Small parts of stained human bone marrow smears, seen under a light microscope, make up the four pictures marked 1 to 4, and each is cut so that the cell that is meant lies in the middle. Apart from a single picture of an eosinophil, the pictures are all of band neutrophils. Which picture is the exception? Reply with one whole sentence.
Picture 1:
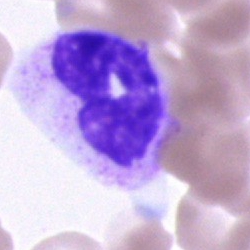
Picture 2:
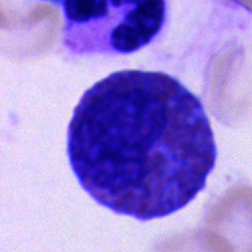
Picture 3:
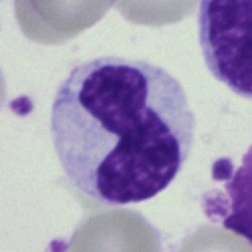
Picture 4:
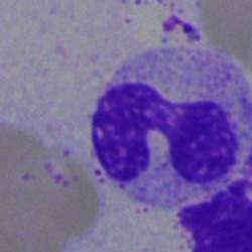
The cell in picture 2 is the eosinophil.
